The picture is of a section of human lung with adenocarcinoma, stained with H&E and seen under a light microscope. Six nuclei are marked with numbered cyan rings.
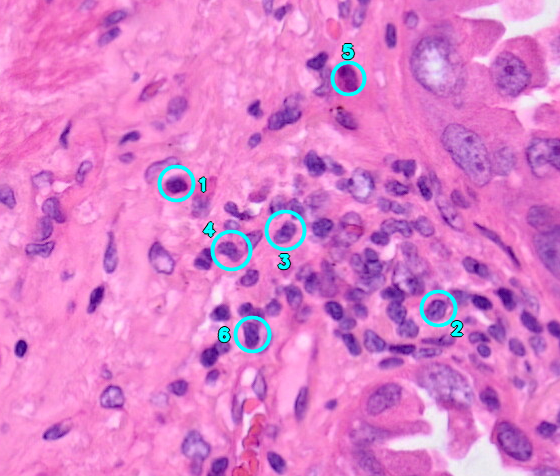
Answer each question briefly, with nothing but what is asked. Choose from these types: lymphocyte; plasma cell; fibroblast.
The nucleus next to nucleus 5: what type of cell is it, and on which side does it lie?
a fibroblast; to the left of nucleus 5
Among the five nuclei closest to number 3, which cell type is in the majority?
lymphocyte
